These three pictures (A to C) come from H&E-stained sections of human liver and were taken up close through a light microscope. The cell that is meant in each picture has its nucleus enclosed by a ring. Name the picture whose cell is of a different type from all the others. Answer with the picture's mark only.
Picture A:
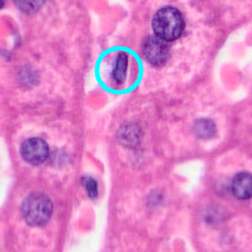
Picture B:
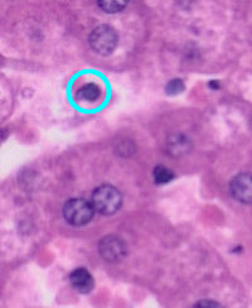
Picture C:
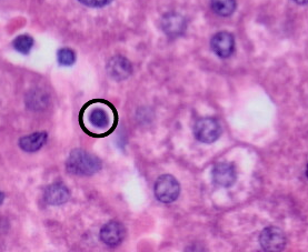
A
